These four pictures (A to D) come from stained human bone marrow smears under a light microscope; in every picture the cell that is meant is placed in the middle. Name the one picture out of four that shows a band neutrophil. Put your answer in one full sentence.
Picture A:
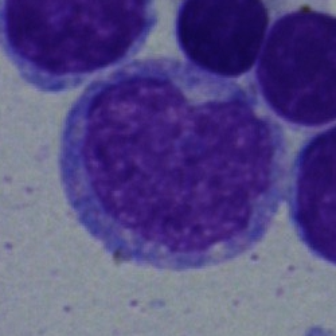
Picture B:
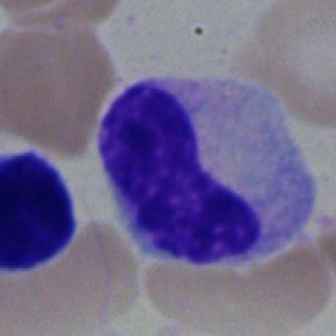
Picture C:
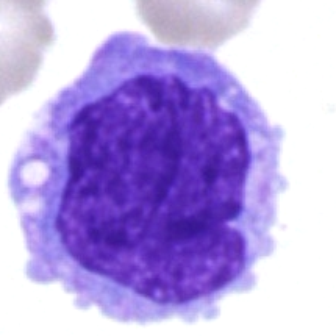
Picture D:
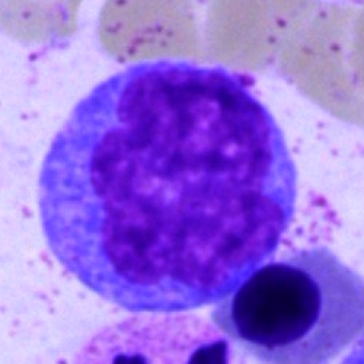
It is picture B that shows the band neutrophil.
